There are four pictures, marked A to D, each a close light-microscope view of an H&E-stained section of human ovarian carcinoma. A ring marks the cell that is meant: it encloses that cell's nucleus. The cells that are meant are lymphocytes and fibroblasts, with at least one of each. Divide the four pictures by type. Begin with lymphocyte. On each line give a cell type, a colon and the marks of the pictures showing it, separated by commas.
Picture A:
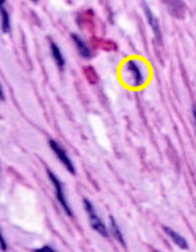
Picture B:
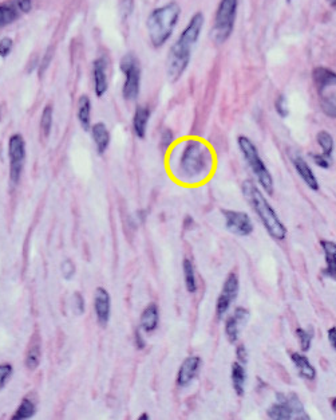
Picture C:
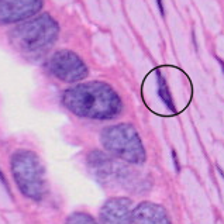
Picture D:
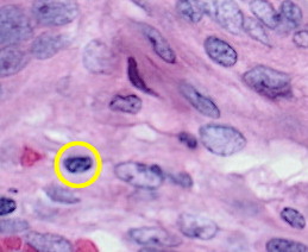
lymphocyte: D
fibroblast: A, B, C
